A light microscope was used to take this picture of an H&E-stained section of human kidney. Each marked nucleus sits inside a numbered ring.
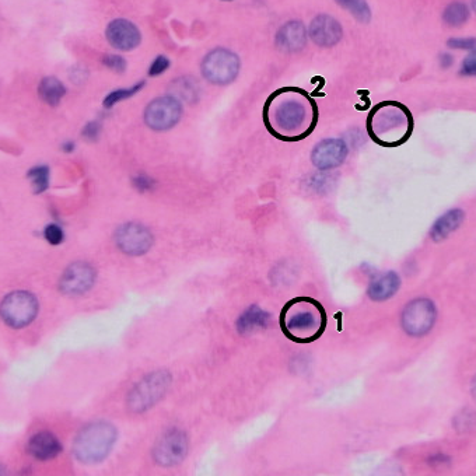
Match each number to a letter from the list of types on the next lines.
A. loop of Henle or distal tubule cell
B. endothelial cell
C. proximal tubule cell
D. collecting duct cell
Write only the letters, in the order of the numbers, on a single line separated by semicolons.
B; C; A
